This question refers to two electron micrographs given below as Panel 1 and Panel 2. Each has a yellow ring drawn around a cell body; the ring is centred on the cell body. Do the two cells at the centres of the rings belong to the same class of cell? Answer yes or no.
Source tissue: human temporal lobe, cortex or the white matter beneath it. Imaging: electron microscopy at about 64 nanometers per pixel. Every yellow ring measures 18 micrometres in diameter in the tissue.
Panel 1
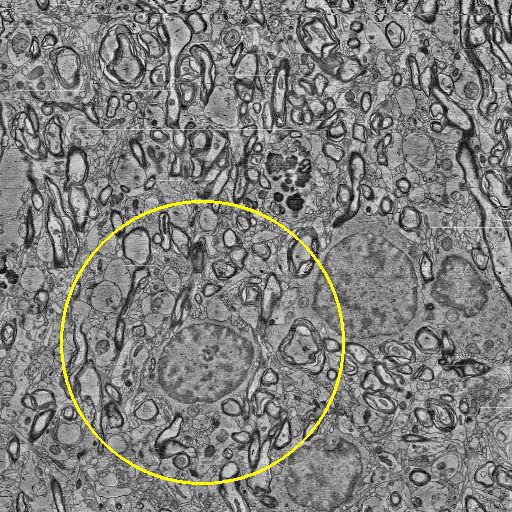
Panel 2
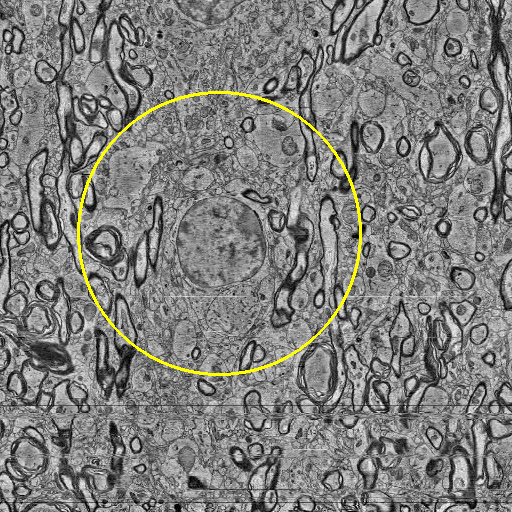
no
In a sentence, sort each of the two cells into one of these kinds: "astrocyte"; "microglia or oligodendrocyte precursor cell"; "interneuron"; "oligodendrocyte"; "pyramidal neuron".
The first of the two cells is an oligodendrocyte, and the second is a microglial cell or oligodendrocyte precursor cell.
